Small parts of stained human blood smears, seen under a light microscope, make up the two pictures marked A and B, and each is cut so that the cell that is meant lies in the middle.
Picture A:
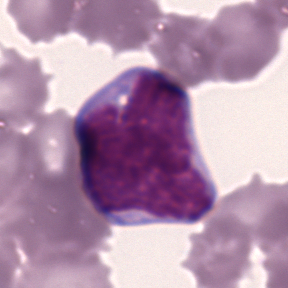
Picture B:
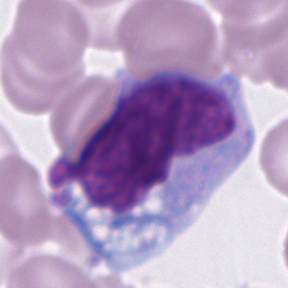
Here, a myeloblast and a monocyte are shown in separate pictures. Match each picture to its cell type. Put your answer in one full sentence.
Picture A shows a myeloblast and picture B shows a monocyte.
